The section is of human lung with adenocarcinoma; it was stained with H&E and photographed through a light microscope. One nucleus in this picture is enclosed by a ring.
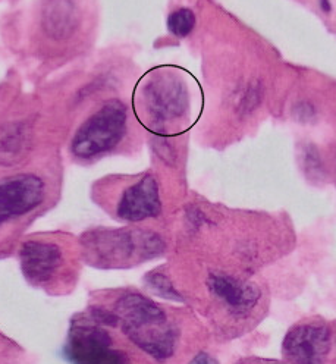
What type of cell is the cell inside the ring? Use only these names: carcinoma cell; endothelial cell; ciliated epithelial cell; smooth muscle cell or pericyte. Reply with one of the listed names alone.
carcinoma cell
